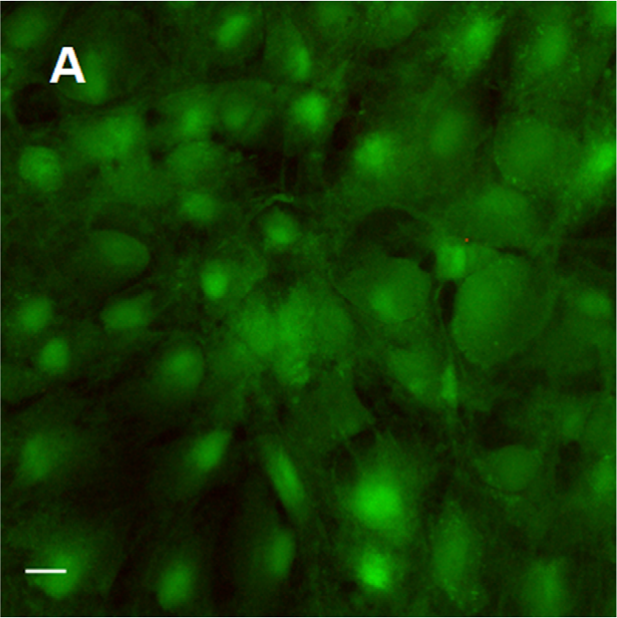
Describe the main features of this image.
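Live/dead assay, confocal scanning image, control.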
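The cells are broad and flattened, polygonal to spindle-shaped, and their borders are only faintly outlined where neighbouring cells meet. In most cells a brighter green oval sits near the centre, while the cytoplasm around it glows more dimly. Hardly any red-stained cells are to be seen among them.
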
